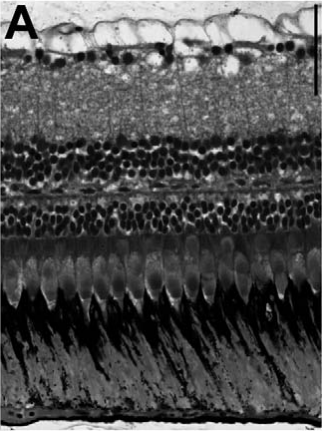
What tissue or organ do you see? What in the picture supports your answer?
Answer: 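Stacked layers of densely packed dark round nuclei separated by paler fibrous bands. A band of tall elongated cells with pale inner parts and dark pigmented outer ends at the bottom. That points to this answer: retina.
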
